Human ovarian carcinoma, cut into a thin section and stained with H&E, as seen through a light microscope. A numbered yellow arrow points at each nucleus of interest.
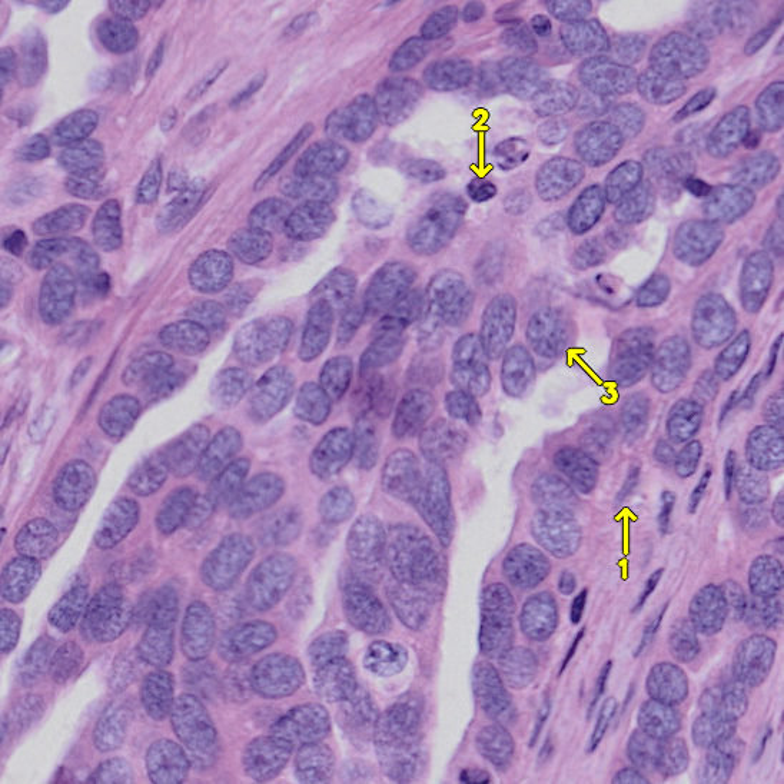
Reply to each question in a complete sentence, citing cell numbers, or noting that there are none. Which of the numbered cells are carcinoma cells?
Cell 3 is a carcinoma cell, and it is the only one.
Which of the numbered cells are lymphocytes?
Only nucleus 2 belongs to a lymphocyte; the other numbered nuclei do not.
